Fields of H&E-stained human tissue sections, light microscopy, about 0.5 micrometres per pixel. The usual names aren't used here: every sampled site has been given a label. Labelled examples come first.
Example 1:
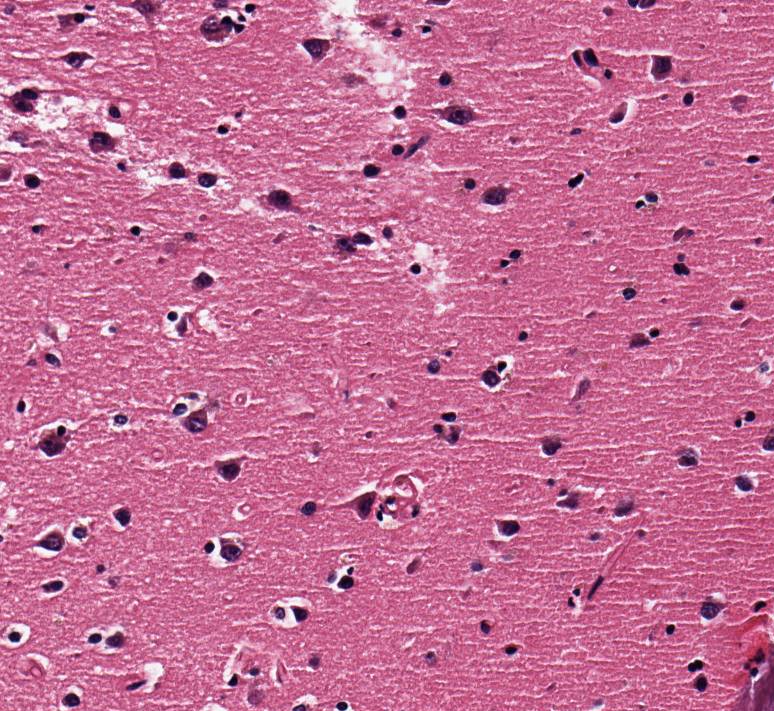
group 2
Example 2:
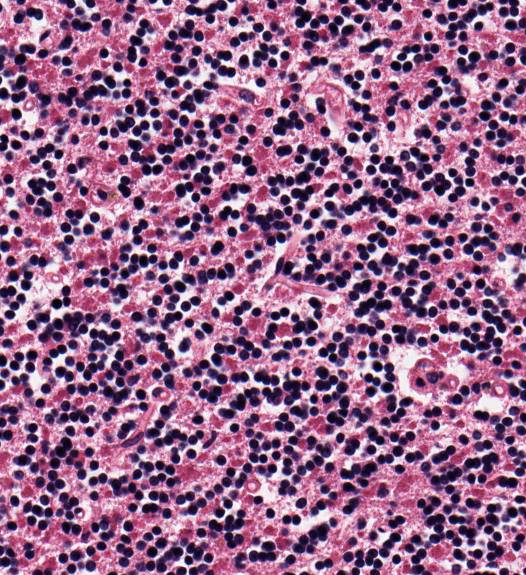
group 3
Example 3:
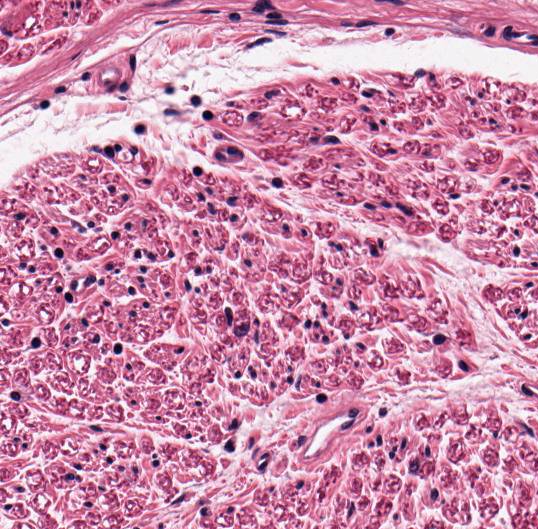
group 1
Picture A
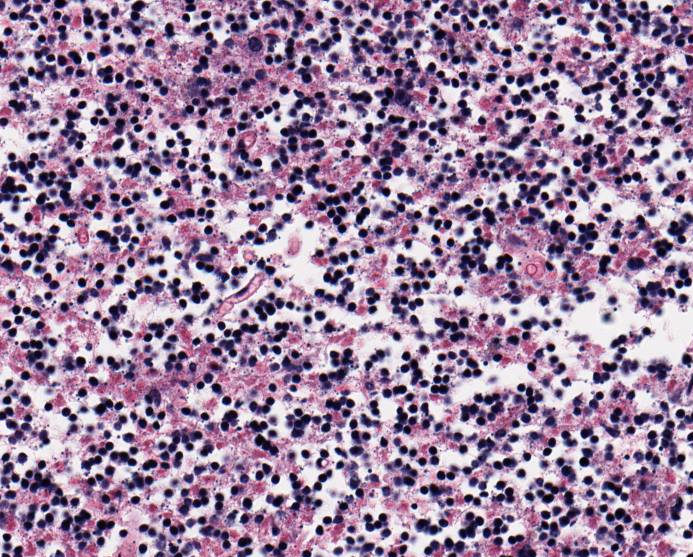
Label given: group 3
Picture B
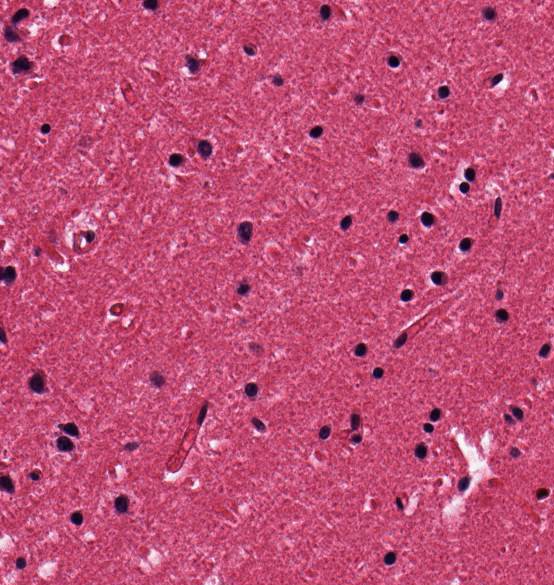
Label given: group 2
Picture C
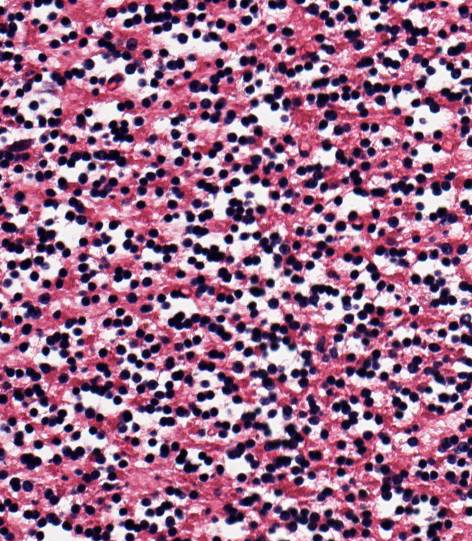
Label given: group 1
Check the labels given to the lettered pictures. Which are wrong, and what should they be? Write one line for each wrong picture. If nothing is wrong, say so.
B should be group 3, not group 2
C should be group 3, not group 1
